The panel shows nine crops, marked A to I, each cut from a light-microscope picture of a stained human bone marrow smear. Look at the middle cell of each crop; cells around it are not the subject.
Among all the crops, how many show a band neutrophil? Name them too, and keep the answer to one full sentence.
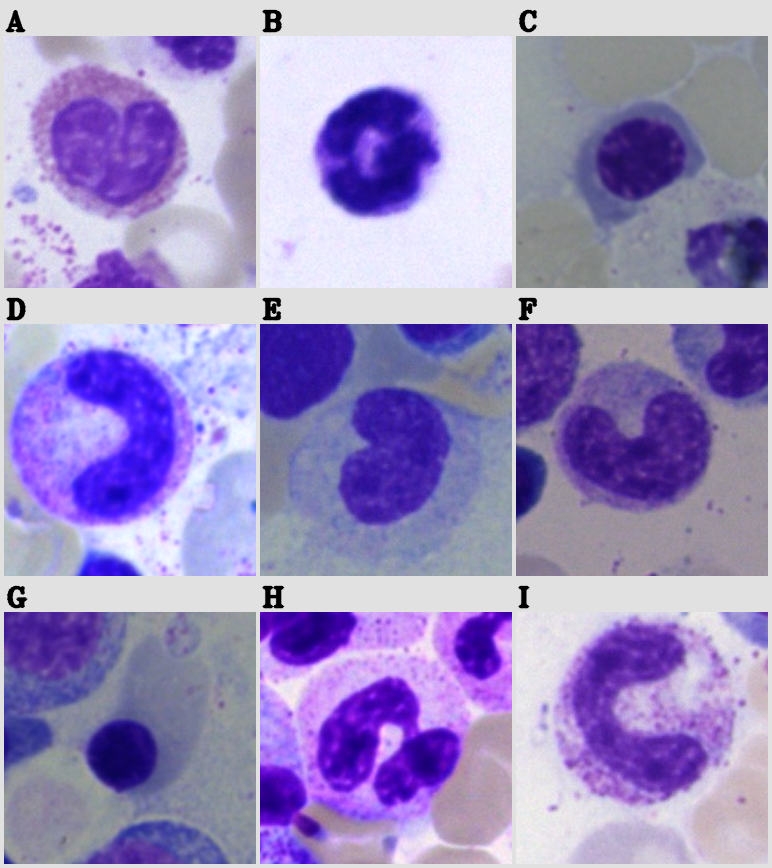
Here is the count: four crops show band neutrophils, namely D, E, F and I.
